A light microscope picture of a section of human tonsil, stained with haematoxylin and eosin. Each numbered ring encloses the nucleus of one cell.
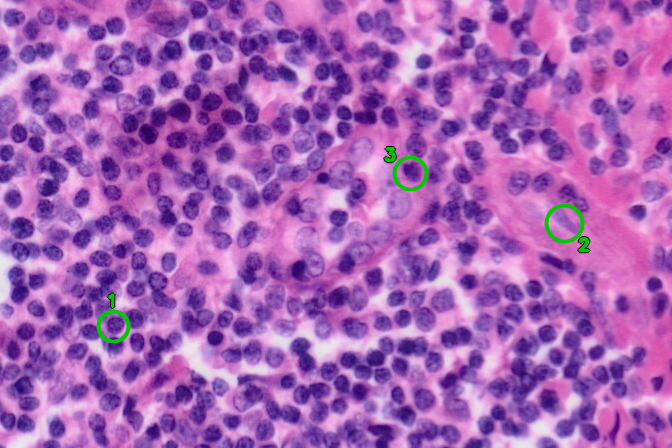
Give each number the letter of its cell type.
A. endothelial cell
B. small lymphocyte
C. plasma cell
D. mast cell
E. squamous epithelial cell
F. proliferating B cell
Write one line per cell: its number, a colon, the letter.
1: B
2: A
3: A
